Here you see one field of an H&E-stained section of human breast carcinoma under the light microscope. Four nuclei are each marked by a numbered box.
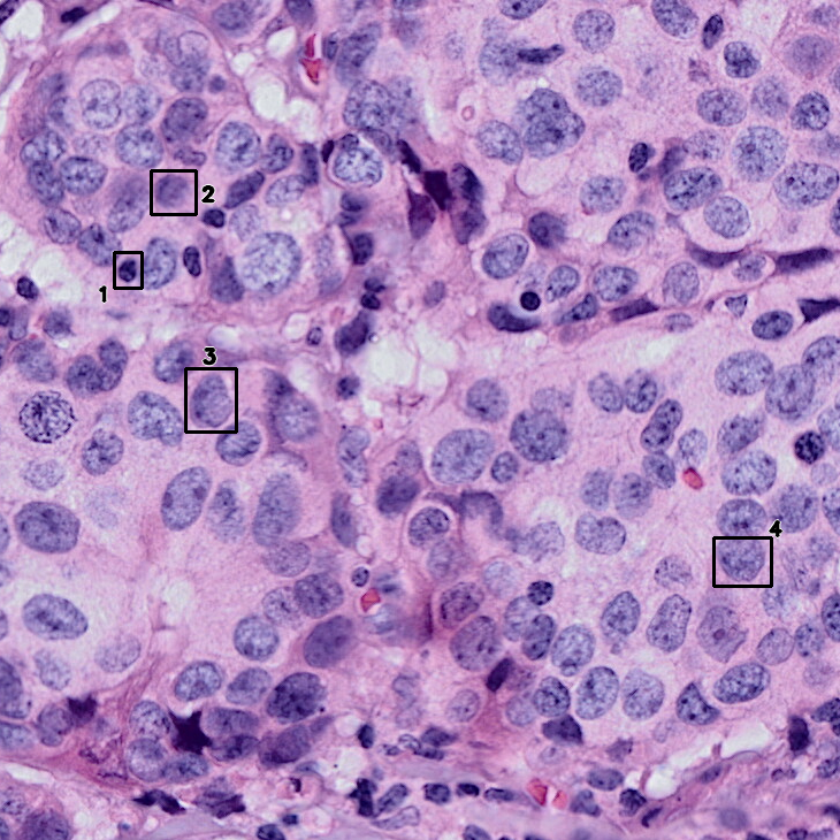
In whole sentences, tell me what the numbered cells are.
Cell 1 is a lymphocyte. Cells 2, 3 and 4 are carcinoma cells.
